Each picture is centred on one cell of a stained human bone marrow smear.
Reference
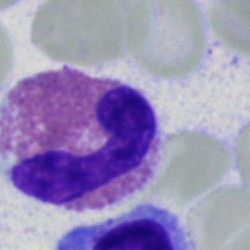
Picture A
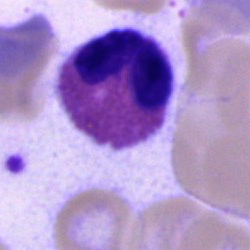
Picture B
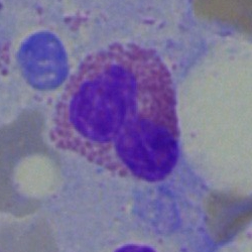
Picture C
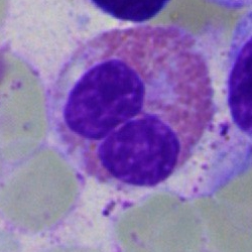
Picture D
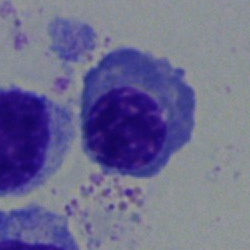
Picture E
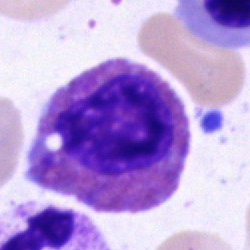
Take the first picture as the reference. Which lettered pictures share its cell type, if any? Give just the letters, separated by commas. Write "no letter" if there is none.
A, B, C, E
